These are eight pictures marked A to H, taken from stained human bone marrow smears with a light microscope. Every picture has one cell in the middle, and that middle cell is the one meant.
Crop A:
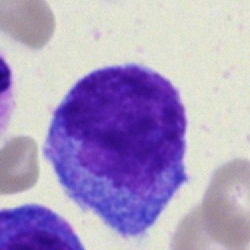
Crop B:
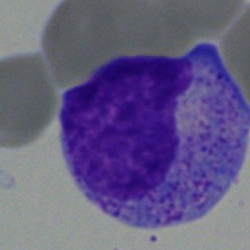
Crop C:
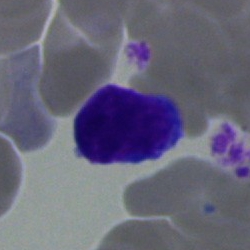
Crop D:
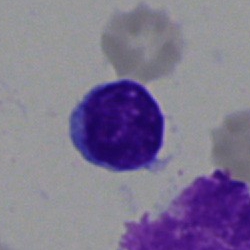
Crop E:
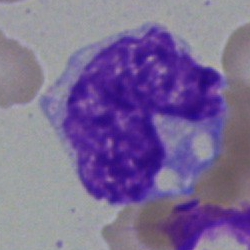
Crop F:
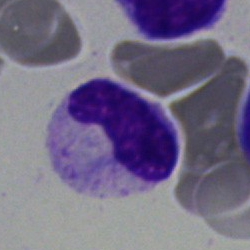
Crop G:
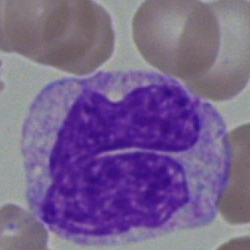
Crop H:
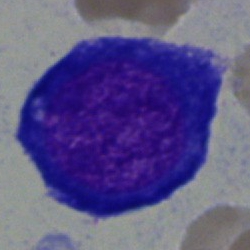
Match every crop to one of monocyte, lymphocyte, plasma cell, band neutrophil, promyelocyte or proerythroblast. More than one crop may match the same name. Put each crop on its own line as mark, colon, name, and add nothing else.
A: monocyte
B: promyelocyte
C: lymphocyte
D: lymphocyte
E: monocyte
F: band neutrophil
G: monocyte
H: proerythroblast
